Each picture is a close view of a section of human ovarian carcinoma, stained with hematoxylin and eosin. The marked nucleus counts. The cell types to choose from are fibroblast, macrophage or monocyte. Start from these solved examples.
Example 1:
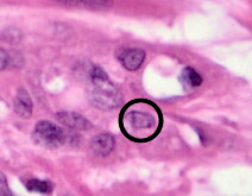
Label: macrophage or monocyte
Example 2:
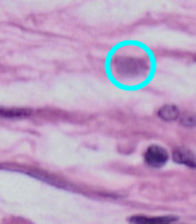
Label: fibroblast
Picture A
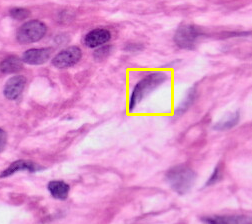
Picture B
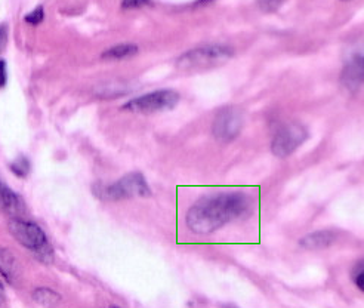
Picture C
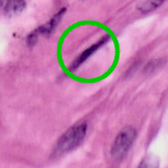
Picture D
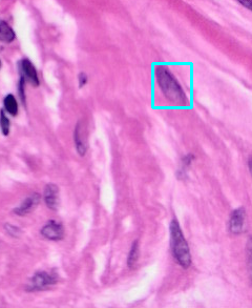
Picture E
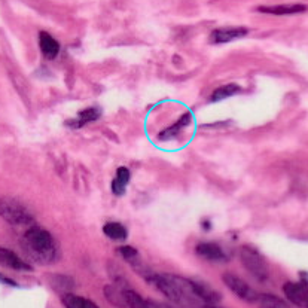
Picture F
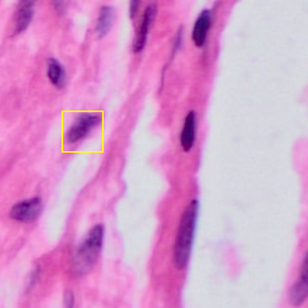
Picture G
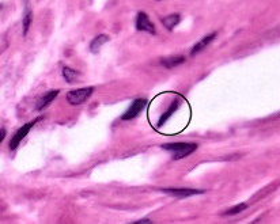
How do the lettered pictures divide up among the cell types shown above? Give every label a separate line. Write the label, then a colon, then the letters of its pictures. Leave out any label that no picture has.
fibroblast: A, B, C, D, E, F, G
